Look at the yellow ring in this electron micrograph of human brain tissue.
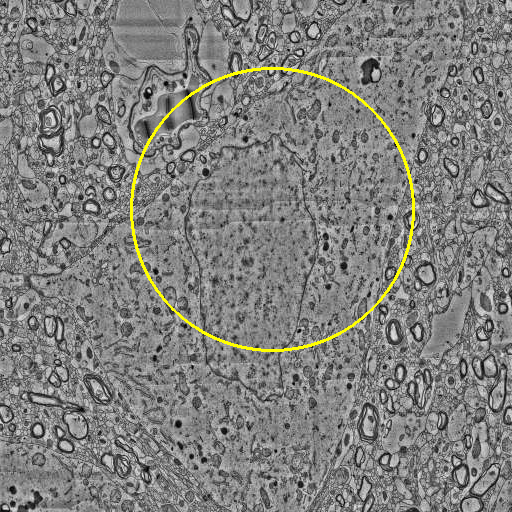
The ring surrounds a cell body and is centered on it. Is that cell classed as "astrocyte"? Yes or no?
No, it is of another kind.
